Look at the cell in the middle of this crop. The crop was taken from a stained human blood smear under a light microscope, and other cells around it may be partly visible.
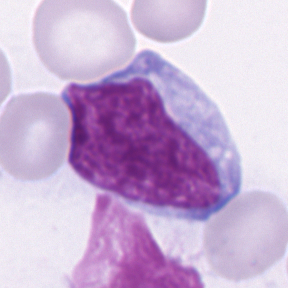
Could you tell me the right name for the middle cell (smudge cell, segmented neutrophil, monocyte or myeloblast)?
monocyte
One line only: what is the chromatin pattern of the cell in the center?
Just so you know, its chromatin is coarsely clumped.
